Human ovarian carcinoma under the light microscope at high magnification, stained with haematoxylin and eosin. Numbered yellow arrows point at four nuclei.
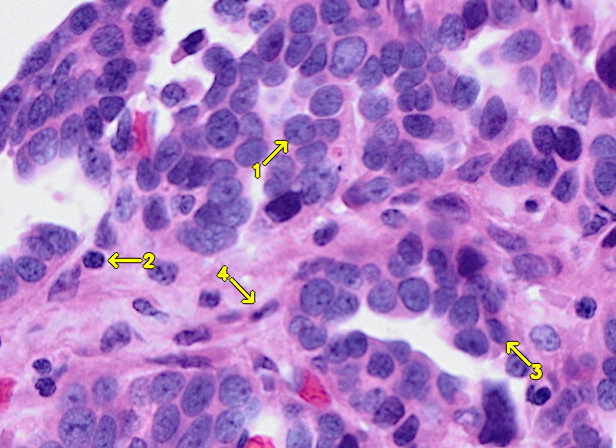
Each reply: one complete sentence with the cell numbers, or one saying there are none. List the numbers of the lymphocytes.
The sole numbered cell that is a lymphocyte is cell 2.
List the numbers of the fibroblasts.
Cell 4 is the single numbered cell that is a fibroblast.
